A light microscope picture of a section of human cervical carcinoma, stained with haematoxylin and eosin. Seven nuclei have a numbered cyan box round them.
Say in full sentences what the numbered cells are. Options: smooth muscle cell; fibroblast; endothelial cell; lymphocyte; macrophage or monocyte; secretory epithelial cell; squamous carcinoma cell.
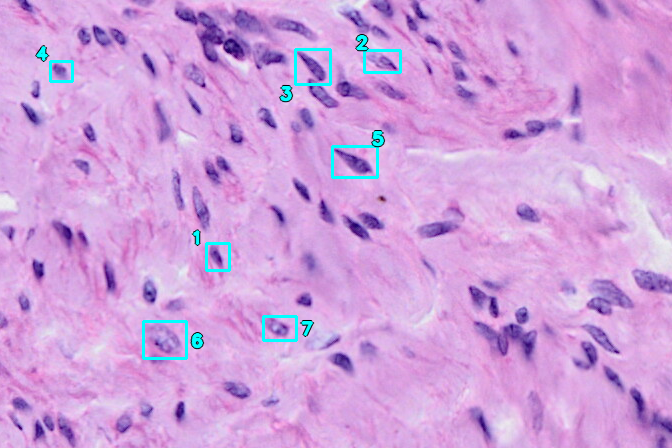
Cell 1 is a smooth muscle cell, cell 2 is a fibroblast, cell 3 is a fibroblast, cell 4 is a fibroblast, cell 5 is a fibroblast, cell 6 is a smooth muscle cell and cell 7 is a smooth muscle cell.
